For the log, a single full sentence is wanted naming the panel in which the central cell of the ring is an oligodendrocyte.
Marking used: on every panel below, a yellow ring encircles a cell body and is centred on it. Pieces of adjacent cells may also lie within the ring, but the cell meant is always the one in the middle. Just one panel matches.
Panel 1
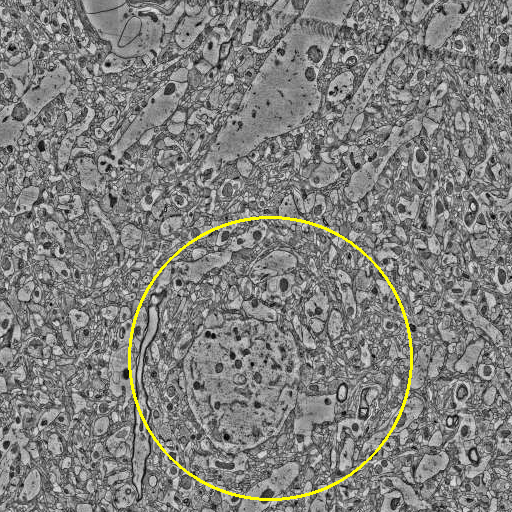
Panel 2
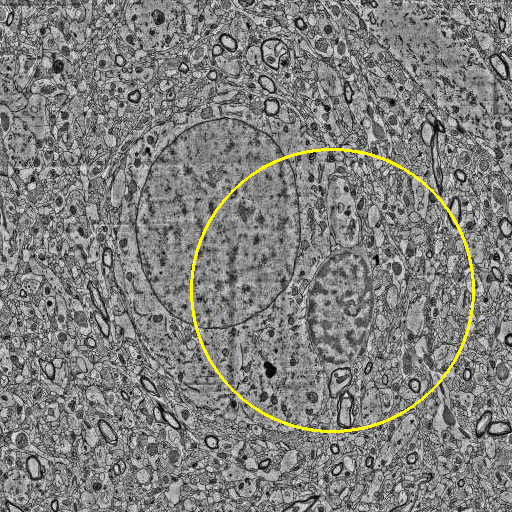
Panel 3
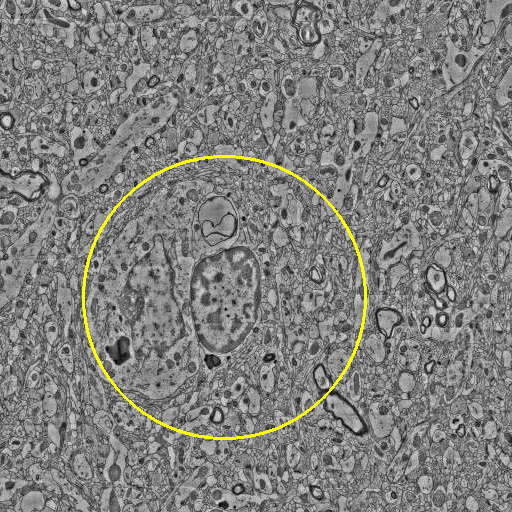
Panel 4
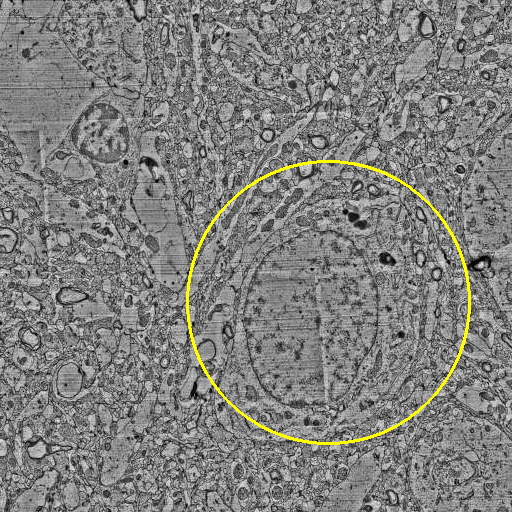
The cell in the middle of the ring in panel 2 is the one asked for.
